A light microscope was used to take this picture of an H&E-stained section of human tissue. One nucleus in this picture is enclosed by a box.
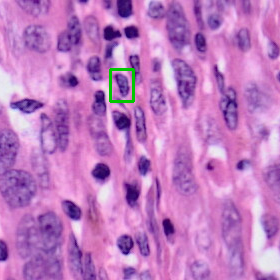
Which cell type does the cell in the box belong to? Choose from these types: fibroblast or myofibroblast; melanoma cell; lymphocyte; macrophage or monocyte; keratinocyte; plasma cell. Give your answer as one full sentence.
The cell in the box is a lymphocyte.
